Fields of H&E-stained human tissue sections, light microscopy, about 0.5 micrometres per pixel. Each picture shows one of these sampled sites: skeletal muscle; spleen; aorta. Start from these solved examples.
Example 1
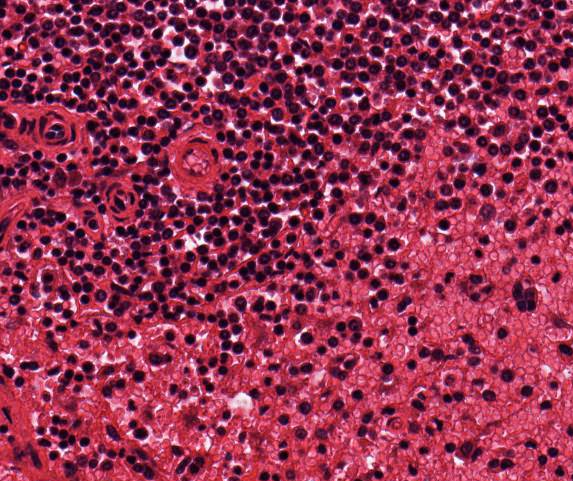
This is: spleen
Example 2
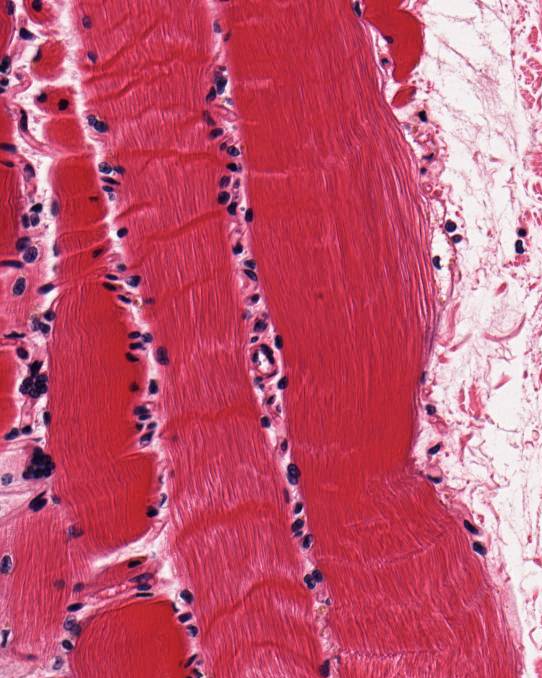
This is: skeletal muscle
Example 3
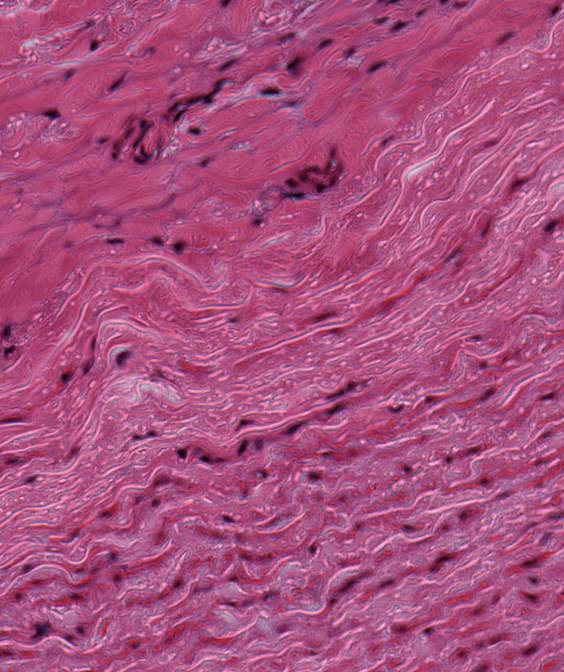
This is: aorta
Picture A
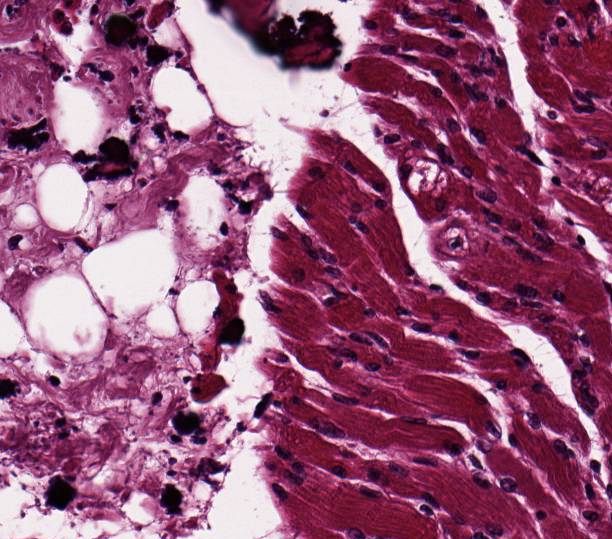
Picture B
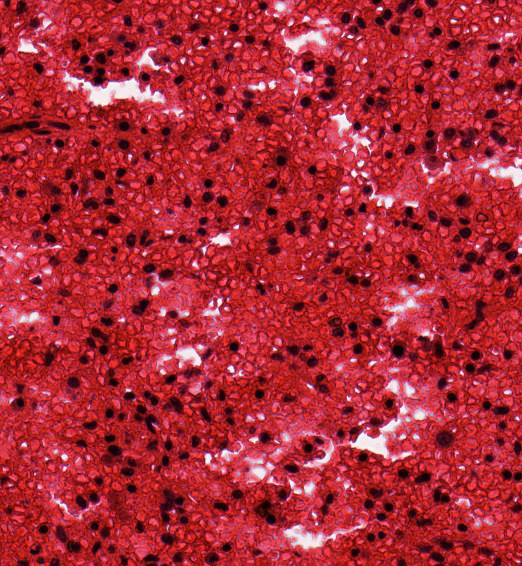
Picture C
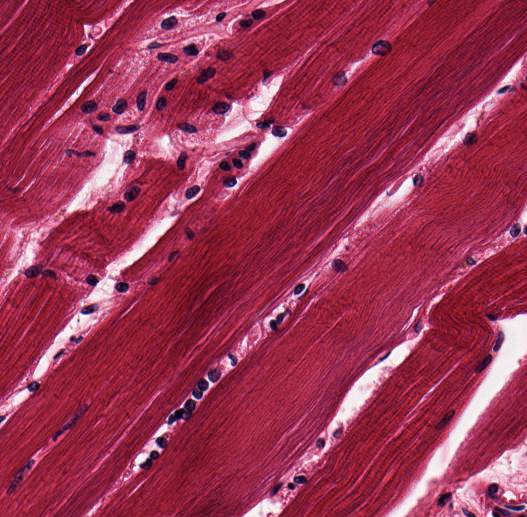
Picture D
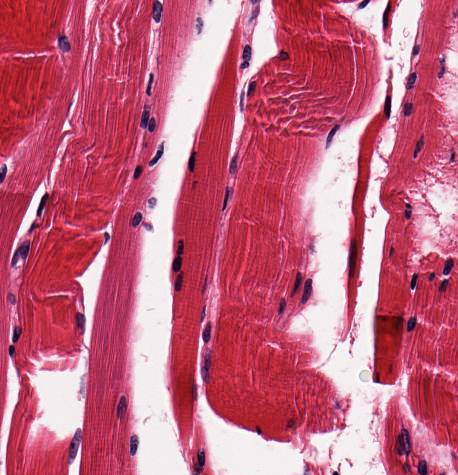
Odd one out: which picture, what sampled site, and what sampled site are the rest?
B: spleen; all the others: skeletal muscle.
